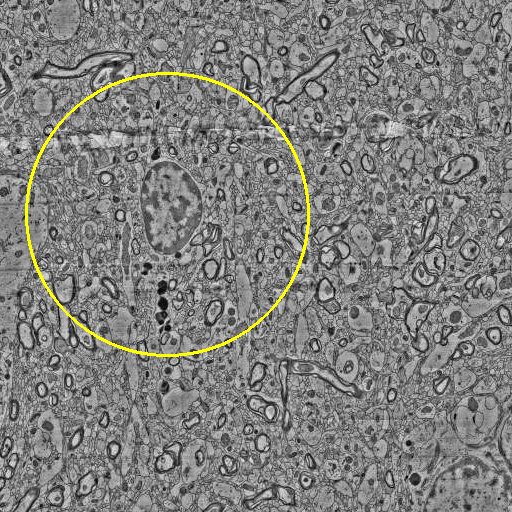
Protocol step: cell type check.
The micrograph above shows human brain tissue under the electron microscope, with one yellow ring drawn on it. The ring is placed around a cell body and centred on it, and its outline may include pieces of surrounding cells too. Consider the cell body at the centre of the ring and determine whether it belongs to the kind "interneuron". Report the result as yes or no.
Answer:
no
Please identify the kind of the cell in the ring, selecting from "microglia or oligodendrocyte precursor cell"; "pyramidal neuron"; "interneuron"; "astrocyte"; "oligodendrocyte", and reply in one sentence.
Instead, the ring surrounds a microglial cell or oligodendrocyte precursor cell in this picture.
